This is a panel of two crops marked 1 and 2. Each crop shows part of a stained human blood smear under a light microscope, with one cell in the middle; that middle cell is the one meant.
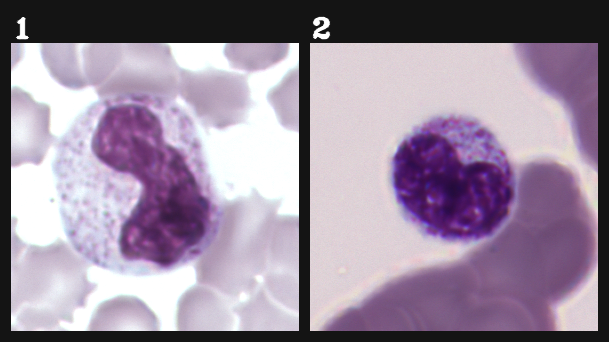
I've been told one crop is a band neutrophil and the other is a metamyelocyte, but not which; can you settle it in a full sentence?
Crop 1 and crop 2 are a band neutrophil and a metamyelocyte, in that order.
